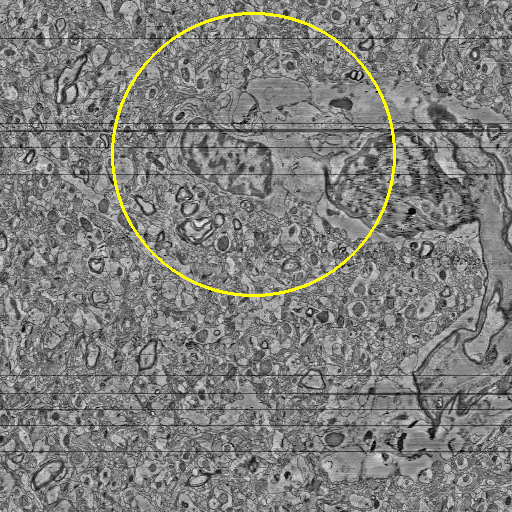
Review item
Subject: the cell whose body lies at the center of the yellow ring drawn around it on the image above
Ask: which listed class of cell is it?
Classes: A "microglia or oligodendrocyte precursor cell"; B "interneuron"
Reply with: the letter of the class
A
